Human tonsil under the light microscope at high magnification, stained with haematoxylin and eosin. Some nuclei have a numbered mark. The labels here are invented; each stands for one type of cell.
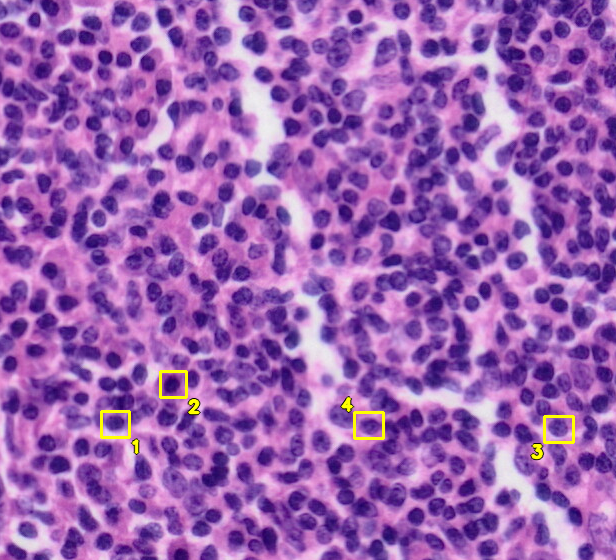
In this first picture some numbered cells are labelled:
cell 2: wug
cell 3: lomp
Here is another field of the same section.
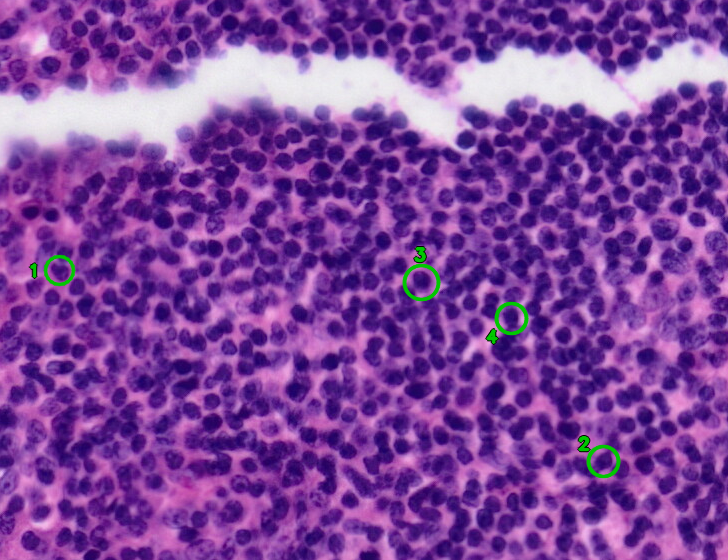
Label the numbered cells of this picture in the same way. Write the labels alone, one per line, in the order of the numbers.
wug
lomp
lomp
lomp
